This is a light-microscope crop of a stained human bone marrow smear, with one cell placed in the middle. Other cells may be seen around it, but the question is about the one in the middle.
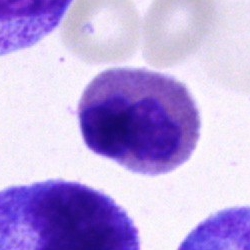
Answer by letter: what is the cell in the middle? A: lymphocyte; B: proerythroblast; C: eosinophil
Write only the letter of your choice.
C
